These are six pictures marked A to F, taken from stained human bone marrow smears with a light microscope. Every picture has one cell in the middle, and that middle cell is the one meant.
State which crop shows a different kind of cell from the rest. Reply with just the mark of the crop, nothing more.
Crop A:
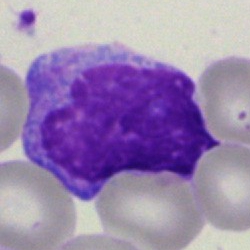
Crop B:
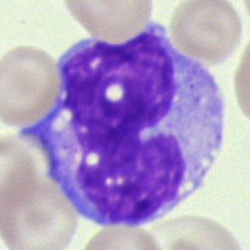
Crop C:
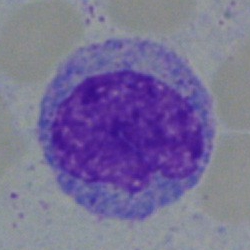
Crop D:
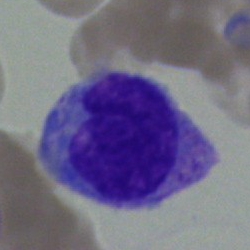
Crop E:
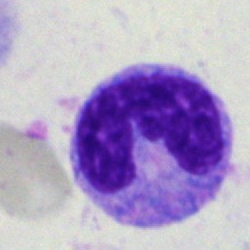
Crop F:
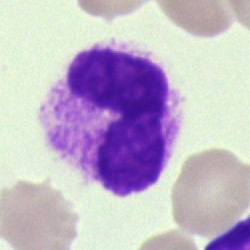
F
